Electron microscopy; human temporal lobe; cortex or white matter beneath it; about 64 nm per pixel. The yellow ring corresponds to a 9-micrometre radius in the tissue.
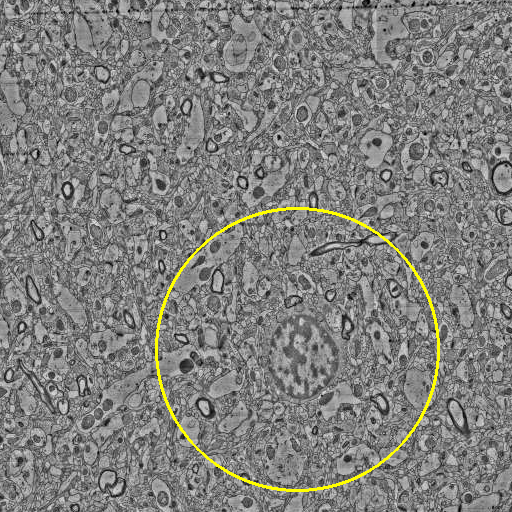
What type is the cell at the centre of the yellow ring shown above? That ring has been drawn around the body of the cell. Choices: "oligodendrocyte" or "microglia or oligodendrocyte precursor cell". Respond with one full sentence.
My answer is that an oligodendrocyte lies at the centre of the yellow ring above.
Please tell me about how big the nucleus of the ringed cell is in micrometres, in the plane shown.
In this plane, roughly 5 by 4 micrometres.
